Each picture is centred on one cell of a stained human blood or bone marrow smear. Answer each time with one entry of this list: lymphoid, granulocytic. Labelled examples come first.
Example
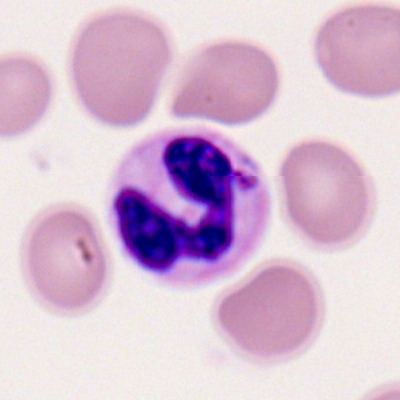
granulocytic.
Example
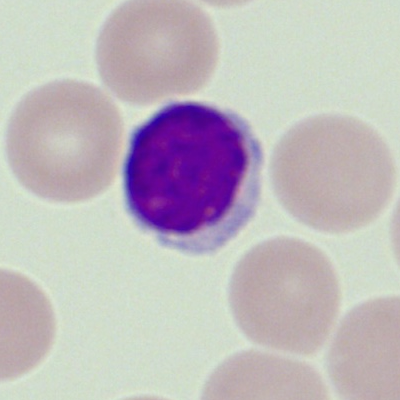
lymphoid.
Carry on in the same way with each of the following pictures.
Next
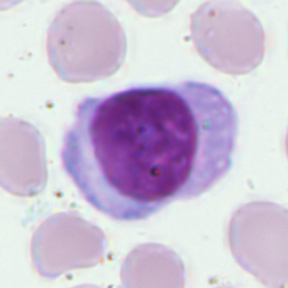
lymphoid.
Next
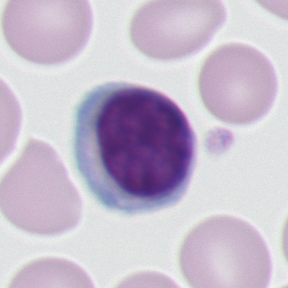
lymphoid.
